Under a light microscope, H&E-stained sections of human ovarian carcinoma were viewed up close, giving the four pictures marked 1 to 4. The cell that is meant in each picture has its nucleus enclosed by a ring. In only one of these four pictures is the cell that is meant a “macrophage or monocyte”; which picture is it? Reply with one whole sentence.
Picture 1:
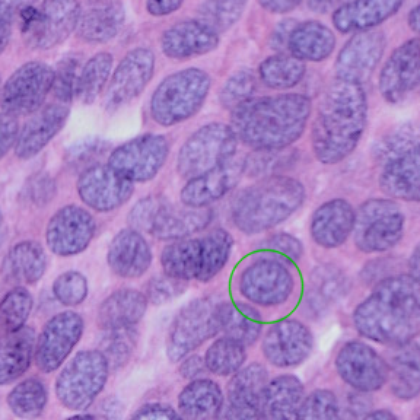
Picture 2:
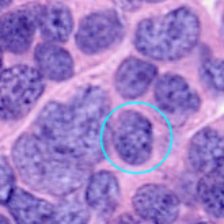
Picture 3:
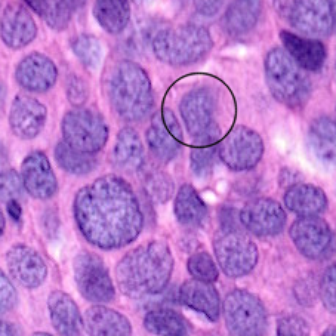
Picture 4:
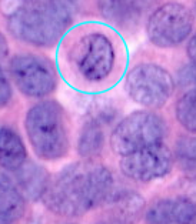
Picture 4 shows the “macrophage or monocyte”.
